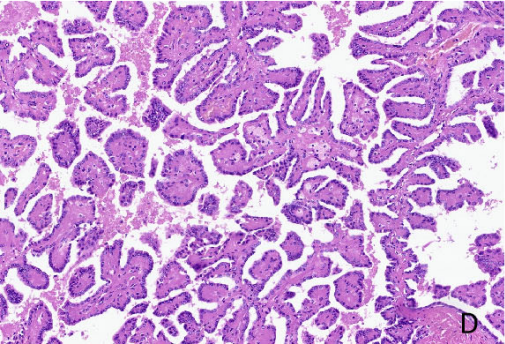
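Closely packed branching papillae of a renal tumor are lined by a single layer of cells with pink cytoplasm and small nuclei. Some of the stromal cores hold small groups of cells with pale, foamy cytoplasm.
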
